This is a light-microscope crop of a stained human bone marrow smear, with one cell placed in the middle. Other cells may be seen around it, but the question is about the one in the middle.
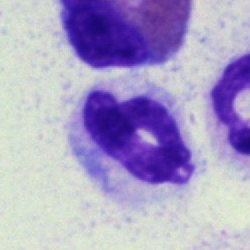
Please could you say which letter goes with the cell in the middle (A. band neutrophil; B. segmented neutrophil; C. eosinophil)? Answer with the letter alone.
B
